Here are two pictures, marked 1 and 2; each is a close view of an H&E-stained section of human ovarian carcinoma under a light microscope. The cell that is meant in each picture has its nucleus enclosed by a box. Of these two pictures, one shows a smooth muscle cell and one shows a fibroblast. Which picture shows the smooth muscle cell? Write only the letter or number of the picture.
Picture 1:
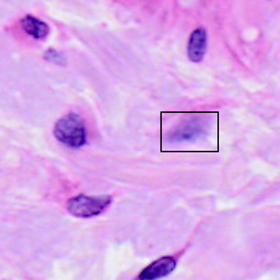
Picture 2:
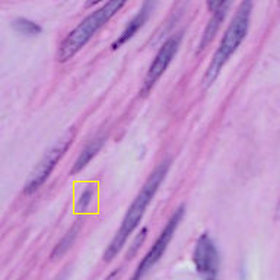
2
